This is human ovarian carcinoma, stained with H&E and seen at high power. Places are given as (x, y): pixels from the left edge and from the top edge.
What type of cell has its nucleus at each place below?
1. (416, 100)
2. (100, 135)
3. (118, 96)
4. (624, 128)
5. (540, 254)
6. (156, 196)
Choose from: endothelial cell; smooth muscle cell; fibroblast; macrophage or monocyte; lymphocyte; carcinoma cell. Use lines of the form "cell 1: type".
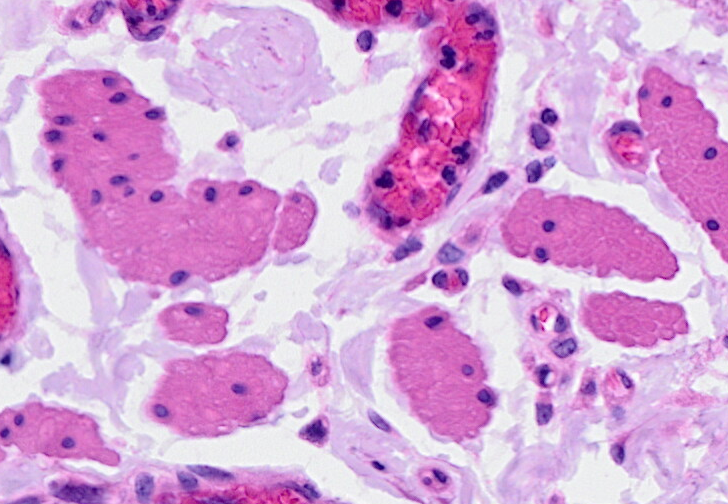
cell 1: endothelial cell
cell 2: smooth muscle cell
cell 3: smooth muscle cell
cell 4: endothelial cell
cell 5: smooth muscle cell
cell 6: smooth muscle cell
